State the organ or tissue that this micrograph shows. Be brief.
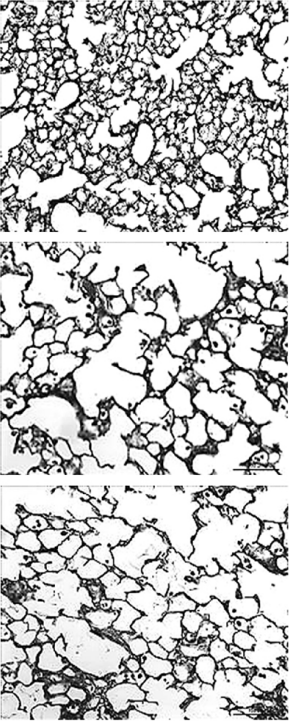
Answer: Lung parenchyma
